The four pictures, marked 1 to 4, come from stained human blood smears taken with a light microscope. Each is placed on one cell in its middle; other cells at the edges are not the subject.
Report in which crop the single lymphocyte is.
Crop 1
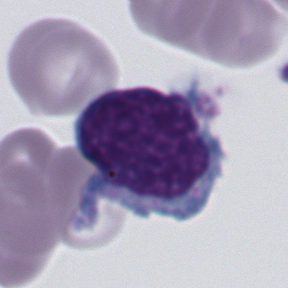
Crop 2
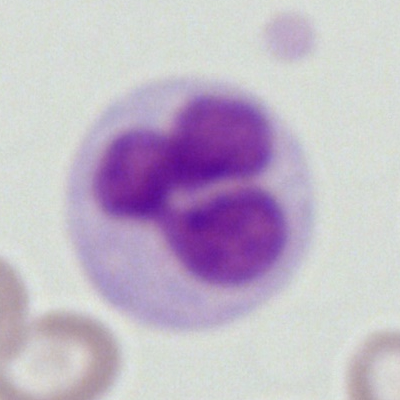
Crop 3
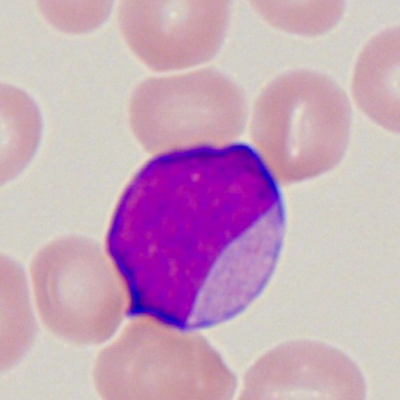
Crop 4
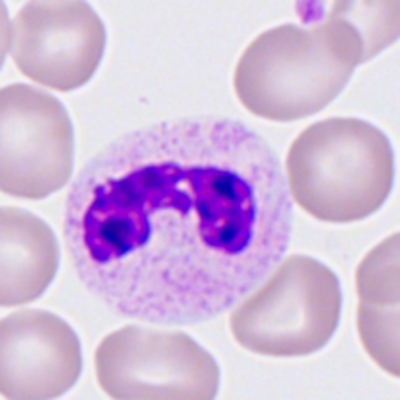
1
